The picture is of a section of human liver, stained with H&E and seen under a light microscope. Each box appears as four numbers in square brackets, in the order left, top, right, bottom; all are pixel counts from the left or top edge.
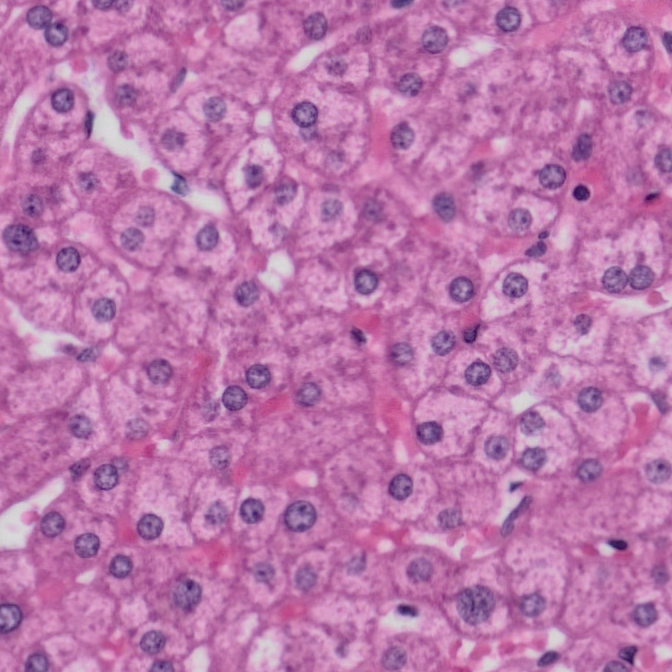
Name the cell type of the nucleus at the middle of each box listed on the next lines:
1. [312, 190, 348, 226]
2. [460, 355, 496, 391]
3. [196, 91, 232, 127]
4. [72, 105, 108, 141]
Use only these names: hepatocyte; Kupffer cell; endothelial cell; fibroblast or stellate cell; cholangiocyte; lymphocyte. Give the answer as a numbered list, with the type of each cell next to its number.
1. hepatocyte
2. hepatocyte
3. hepatocyte
4. endothelial cell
